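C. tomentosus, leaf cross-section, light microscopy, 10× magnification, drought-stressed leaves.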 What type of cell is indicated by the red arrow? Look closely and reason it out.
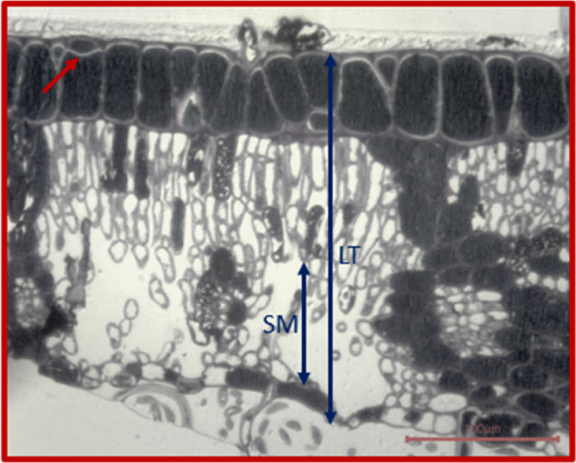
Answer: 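The arrow points at a cell in the outermost cell layer of the upper leaf surface. This layer is a single row of large, tall, darkly stained cells above the thin columnar cells. The answer: epidermal cell.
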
